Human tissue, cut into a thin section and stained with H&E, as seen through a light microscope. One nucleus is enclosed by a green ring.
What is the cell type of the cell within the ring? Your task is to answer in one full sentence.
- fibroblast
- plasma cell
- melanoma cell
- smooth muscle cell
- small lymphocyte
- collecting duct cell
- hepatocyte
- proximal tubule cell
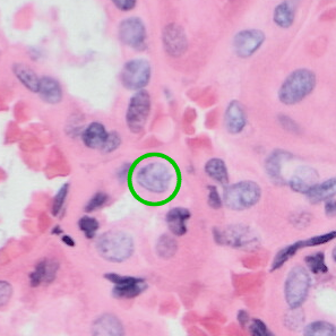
In the tissue at hand, the cell within the ring is a collecting duct cell.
